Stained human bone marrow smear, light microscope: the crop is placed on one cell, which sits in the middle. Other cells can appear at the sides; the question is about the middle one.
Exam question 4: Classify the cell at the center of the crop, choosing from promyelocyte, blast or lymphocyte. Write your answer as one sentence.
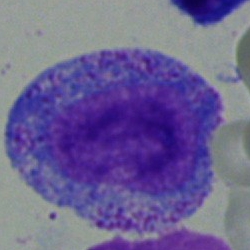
The cell the crop is centered on is a promyelocyte.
